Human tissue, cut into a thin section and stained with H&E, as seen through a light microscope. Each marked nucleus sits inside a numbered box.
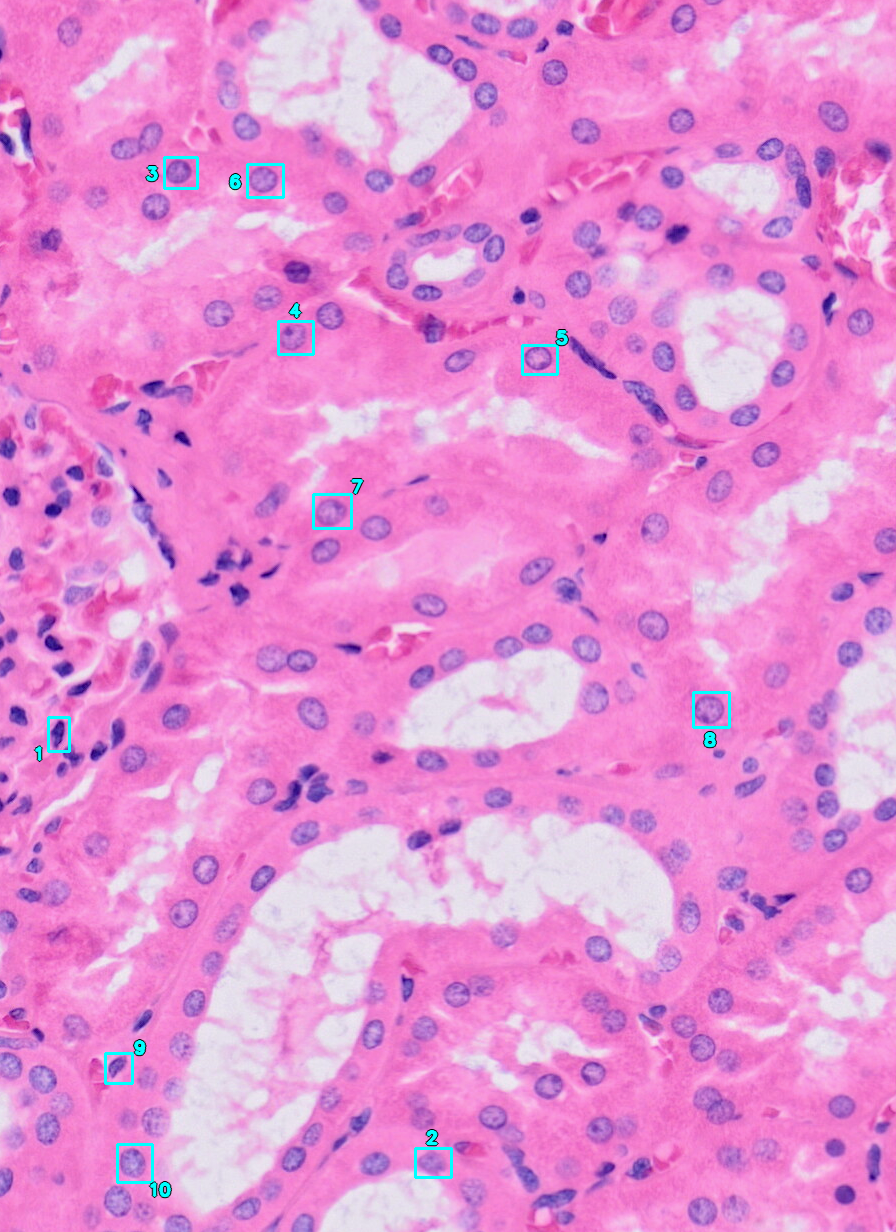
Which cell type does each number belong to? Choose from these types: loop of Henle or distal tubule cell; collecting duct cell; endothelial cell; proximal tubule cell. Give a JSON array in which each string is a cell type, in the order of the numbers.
["endothelial cell", "loop of Henle or distal tubule cell", "proximal tubule cell", "proximal tubule cell", "proximal tubule cell", "proximal tubule cell", "proximal tubule cell", "proximal tubule cell", "endothelial cell", "loop of Henle or distal tubule cell"]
